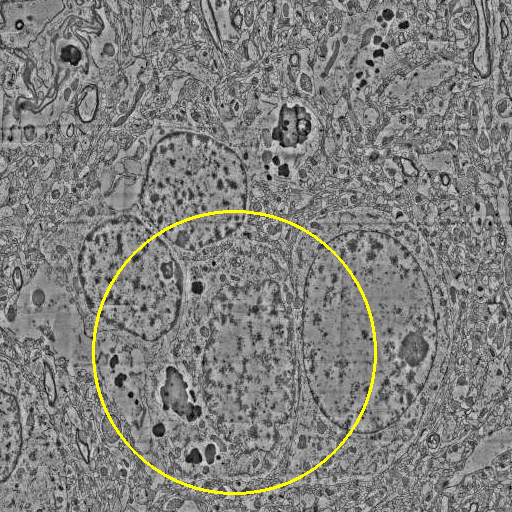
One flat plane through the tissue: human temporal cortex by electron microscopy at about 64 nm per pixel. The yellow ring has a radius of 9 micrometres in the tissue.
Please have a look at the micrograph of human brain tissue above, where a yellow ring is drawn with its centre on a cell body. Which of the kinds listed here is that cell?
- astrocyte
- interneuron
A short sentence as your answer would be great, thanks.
At the centre of the ring sits an interneuron.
